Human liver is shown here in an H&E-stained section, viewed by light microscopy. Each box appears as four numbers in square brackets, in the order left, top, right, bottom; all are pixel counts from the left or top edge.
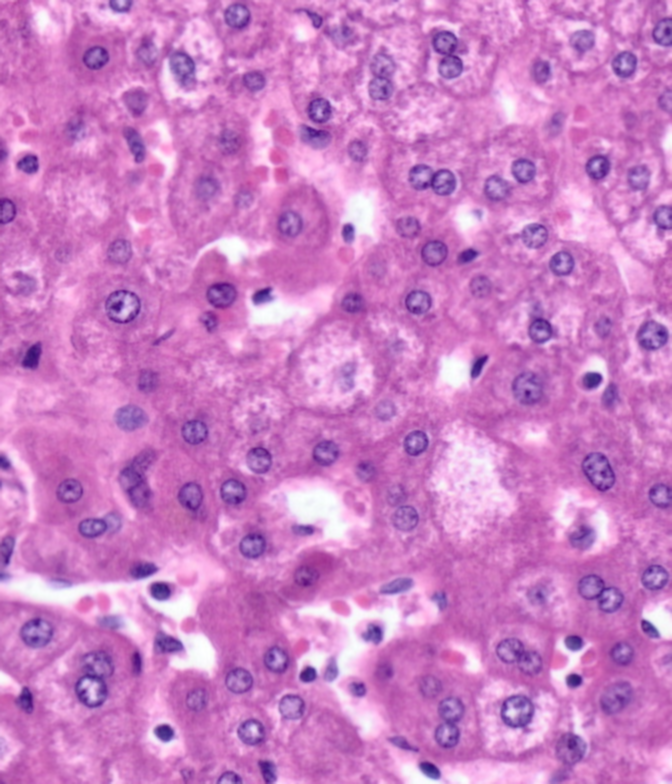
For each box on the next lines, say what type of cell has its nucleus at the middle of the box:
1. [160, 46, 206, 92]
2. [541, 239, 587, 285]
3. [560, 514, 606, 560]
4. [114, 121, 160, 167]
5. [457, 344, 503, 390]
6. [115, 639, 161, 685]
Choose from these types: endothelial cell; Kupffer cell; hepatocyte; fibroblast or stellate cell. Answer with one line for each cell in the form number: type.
1: hepatocyte
2: hepatocyte
3: Kupffer cell
4: Kupffer cell
5: endothelial cell
6: fibroblast or stellate cell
